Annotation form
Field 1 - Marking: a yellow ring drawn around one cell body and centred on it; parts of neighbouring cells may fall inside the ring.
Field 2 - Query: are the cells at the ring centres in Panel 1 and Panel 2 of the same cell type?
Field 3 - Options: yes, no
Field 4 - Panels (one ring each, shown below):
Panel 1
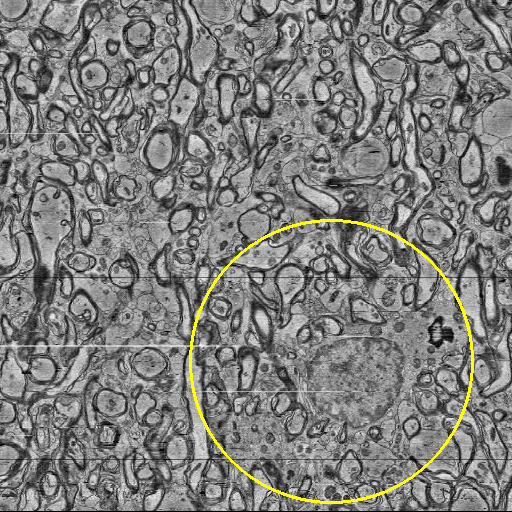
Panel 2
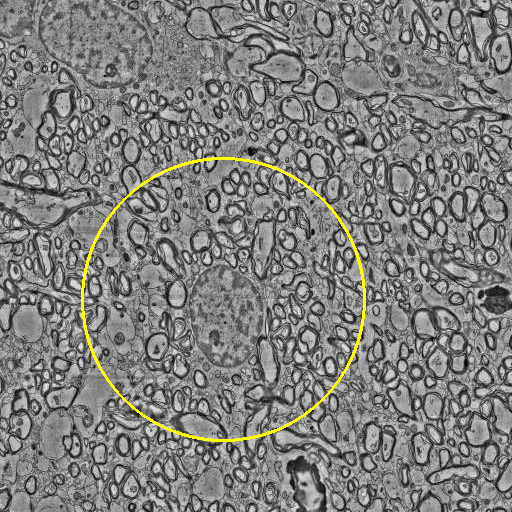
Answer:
yes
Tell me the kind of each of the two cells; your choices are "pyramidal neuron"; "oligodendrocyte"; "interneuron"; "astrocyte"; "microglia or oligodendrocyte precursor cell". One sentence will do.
The second cell is an oligodendrocyte, just as the first is.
